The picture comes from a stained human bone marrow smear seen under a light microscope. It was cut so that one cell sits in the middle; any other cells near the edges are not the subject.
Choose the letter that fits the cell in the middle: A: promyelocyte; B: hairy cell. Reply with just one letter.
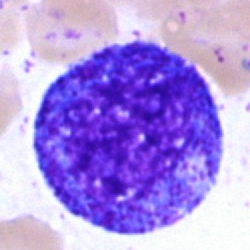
A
